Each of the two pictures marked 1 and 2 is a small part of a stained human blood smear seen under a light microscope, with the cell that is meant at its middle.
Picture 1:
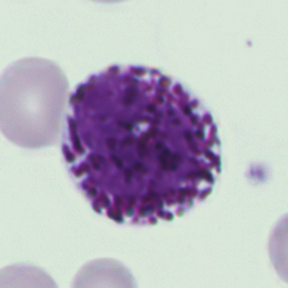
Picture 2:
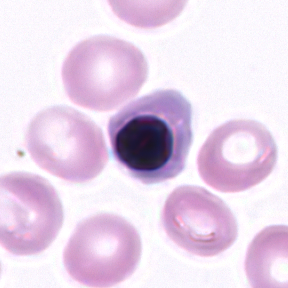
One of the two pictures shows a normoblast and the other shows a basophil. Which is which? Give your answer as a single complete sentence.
Picture 2 shows a normoblast, while picture 1 shows a basophil.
